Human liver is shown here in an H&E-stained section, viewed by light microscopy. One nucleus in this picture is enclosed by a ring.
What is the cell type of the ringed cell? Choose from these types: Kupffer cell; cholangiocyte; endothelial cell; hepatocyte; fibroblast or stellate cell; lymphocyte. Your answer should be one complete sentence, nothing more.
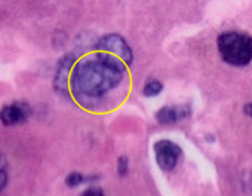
In the tissue at hand, the ringed cell is a cholangiocyte.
